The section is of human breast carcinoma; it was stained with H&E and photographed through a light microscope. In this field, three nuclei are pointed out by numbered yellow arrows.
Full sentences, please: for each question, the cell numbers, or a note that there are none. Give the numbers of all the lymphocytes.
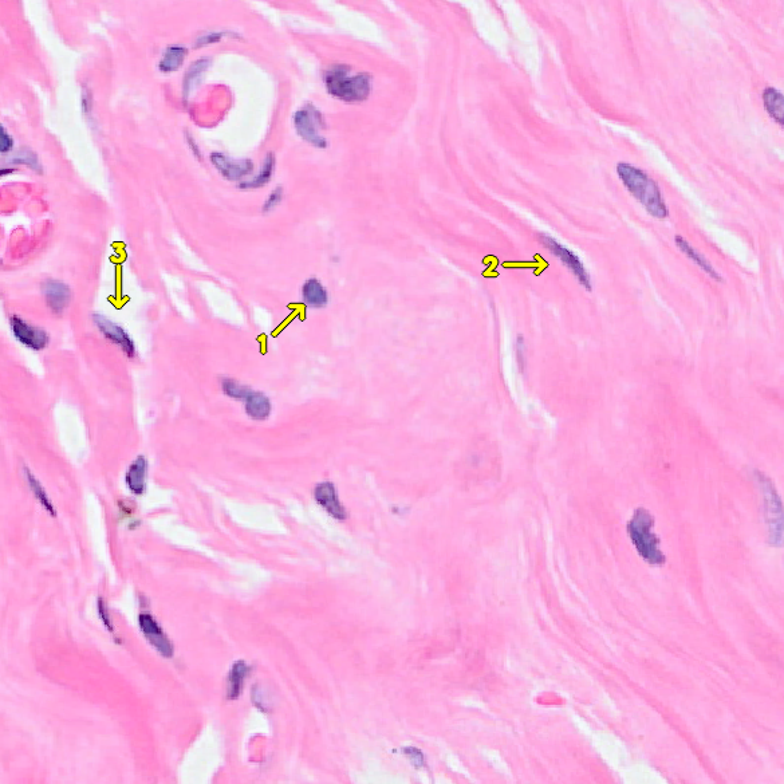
Among the marked cells, cell number 1 alone is a lymphocyte.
